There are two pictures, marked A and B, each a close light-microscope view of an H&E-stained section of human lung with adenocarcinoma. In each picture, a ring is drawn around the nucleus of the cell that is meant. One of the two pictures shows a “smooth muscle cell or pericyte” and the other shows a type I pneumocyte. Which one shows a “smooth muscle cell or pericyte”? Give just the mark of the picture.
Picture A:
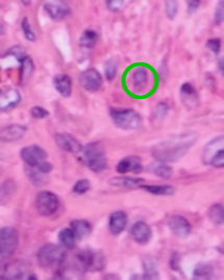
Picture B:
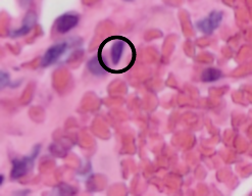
A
